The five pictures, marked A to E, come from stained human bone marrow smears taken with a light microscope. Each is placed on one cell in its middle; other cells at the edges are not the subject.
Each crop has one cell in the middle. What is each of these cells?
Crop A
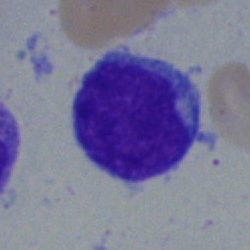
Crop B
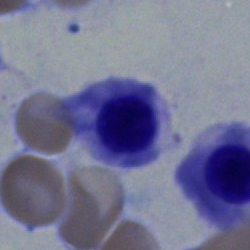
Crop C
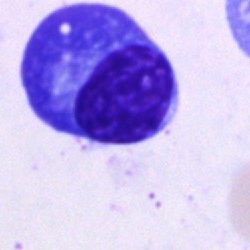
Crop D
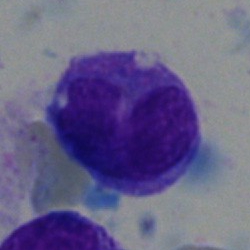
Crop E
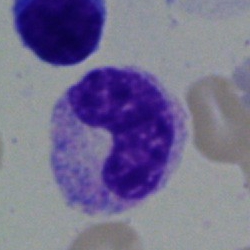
A: blast
B: erythroblast
C: plasma cell
D: monocyte
E: metamyelocyte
